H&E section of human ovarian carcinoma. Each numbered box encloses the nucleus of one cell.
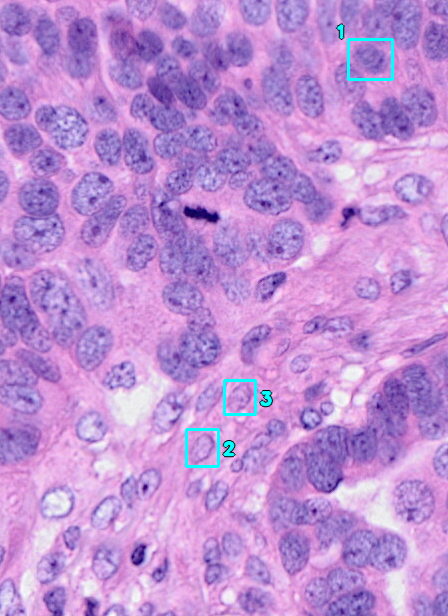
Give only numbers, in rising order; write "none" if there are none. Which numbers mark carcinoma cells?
1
